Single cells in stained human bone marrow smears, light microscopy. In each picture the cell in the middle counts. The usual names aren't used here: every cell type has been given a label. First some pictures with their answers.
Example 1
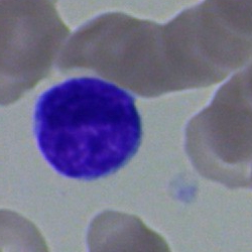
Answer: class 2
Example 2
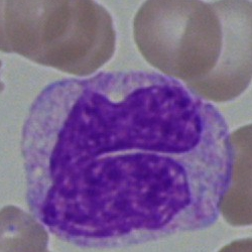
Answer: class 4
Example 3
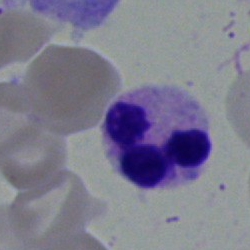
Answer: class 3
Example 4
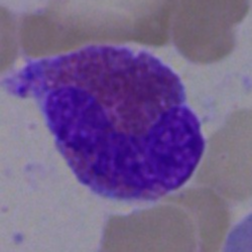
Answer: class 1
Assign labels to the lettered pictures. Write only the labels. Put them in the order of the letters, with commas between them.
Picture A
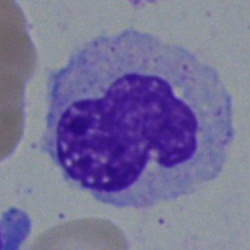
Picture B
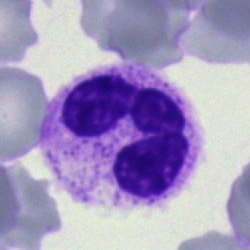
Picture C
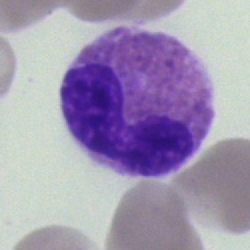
class 4, class 3, class 1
